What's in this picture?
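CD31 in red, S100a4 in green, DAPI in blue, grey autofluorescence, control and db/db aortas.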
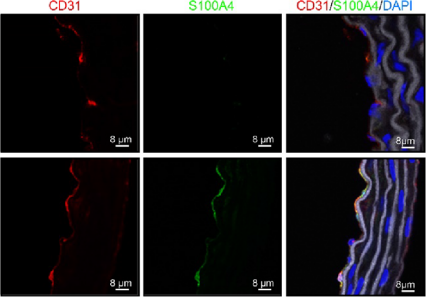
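This is the inner part of an aortic wall in fluorescence, showing the endothelial layer along the luminal edge above the elastic lamellae of the media. A thin red line marks the endothelium on the inner side of the first grey lamella. The elastic lamellae are thick, wavy, parallel grey bands. Elongated blue nuclei lie in the spaces between the lamellae. In the lower image a green line follows the red endothelial line along part of its length, giving yellow-orange overlap in the merged view, while the upper image shows hardly any green.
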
